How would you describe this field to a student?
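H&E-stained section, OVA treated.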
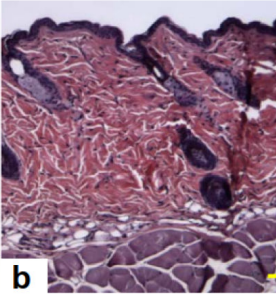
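Section of skin with a thin dark epidermis at the upper surface. The dermis is filled with deeply eosinophilic red collagen bundles separated by narrow white clefts, giving a wavy, meshwork appearance. Hair follicles appear as dark purple oval and elongated profiles within the dermis. Scattered purple nuclei lie between the fibre bundles. Muscle fibres cut in cross-section occupy the bottom of the field.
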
